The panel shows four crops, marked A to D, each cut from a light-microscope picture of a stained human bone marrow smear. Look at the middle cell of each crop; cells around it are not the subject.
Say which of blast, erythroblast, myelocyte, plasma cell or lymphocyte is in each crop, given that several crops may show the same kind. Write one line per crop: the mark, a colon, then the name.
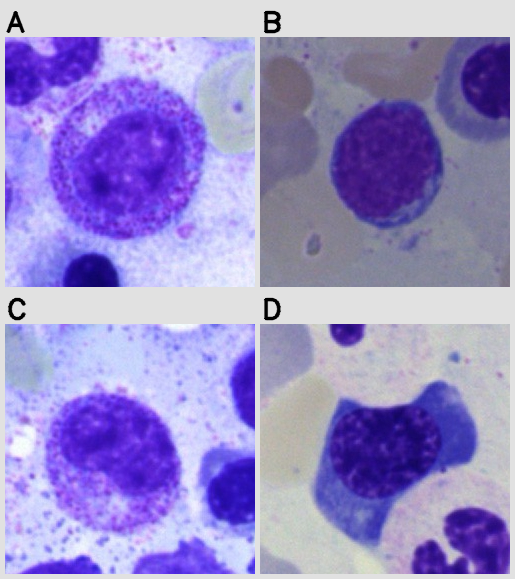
A: myelocyte
B: lymphocyte
C: myelocyte
D: erythroblast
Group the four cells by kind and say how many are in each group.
myelocyte: 2
lymphocyte: 1
erythroblast: 1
